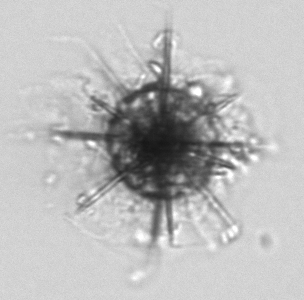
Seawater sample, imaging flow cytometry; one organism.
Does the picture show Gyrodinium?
No, it shows a radiolarian.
